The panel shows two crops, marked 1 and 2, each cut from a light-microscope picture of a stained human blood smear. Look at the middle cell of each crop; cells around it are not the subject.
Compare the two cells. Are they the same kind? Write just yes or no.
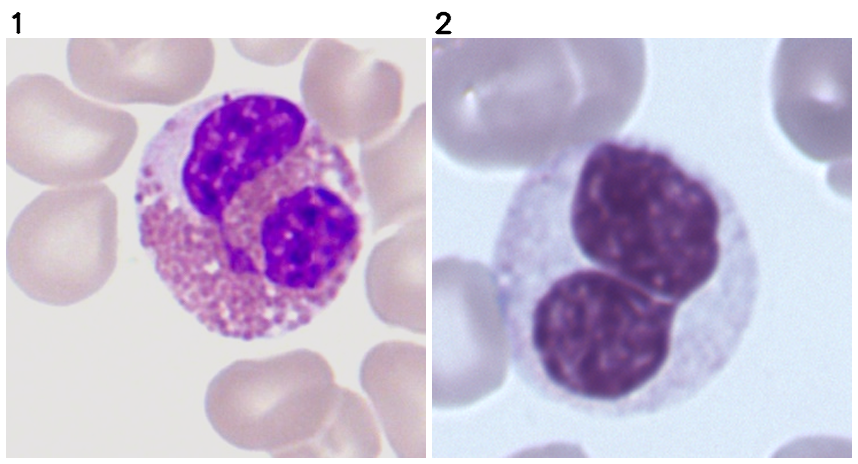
no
